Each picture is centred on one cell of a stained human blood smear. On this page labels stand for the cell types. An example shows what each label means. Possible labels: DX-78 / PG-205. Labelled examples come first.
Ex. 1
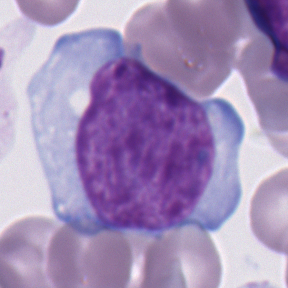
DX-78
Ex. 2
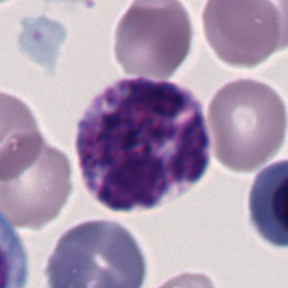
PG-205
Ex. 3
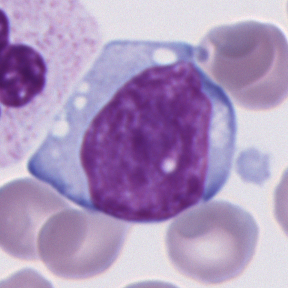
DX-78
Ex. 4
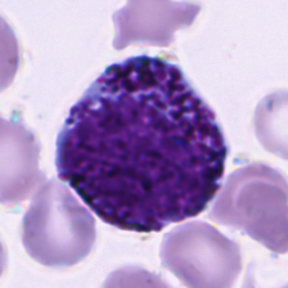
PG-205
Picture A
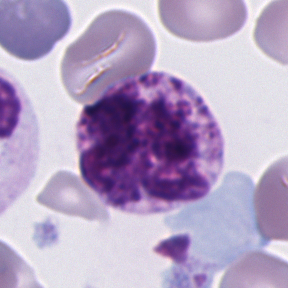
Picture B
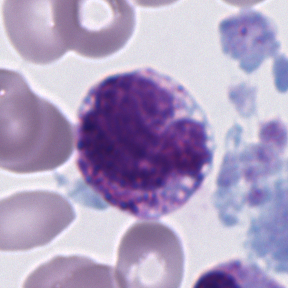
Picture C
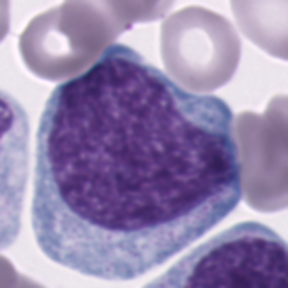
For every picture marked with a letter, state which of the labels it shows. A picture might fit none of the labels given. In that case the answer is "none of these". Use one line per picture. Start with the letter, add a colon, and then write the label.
A: PG-205
B: PG-205
C: none of these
